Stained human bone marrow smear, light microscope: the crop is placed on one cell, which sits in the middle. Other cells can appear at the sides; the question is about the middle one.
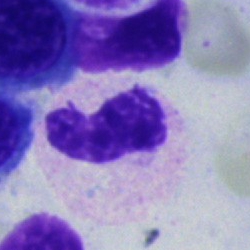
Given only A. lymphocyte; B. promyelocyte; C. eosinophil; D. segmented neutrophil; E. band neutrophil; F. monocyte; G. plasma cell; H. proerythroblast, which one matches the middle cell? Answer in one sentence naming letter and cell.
In the centre of the crop there is a band neutrophil, making option E correct.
